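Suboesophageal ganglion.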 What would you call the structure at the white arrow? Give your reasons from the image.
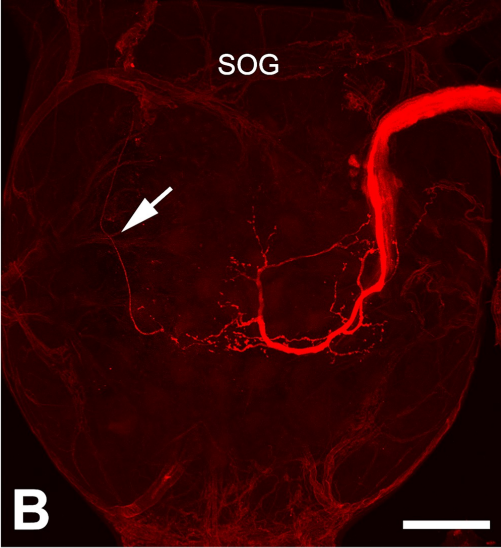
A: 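A thick bright red fibre bundle enters from the right and curves along the lower ganglion. Thin beaded red branches spread from it across the ganglion. A single fine thin fibre extends up to the left where the arrow points. On this evidence: fine extension and arrborization of the neuronal projection.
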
